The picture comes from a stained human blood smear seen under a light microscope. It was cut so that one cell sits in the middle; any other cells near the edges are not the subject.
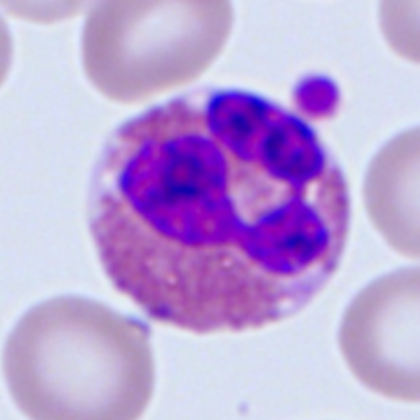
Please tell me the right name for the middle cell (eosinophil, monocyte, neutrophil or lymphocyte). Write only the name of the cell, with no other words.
eosinophil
